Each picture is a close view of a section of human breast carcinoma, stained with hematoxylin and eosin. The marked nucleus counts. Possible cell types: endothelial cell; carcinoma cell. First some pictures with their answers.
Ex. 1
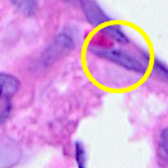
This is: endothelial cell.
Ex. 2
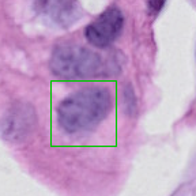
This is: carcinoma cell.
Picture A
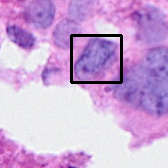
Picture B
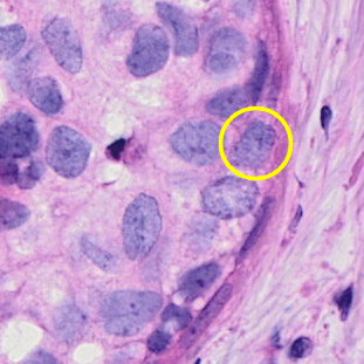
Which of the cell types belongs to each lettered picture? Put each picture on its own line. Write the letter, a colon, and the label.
A: carcinoma cell.
B: carcinoma cell.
